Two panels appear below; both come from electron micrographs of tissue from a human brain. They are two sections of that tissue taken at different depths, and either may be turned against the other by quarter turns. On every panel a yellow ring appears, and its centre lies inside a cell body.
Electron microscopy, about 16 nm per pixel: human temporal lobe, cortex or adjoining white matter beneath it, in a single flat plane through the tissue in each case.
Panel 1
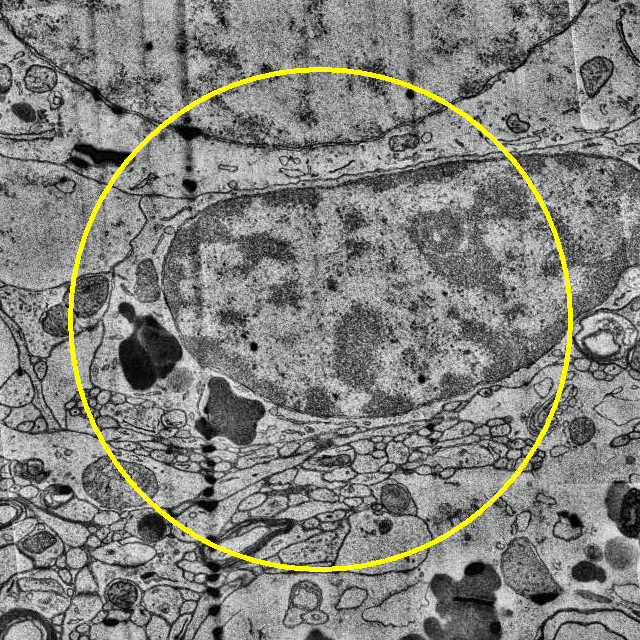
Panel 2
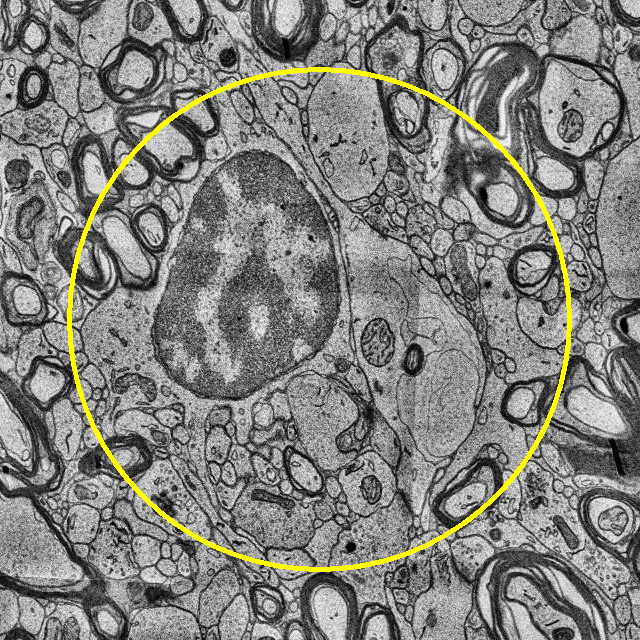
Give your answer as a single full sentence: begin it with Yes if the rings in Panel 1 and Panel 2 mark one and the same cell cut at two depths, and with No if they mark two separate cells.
No, the two yellow rings surround two different cells.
